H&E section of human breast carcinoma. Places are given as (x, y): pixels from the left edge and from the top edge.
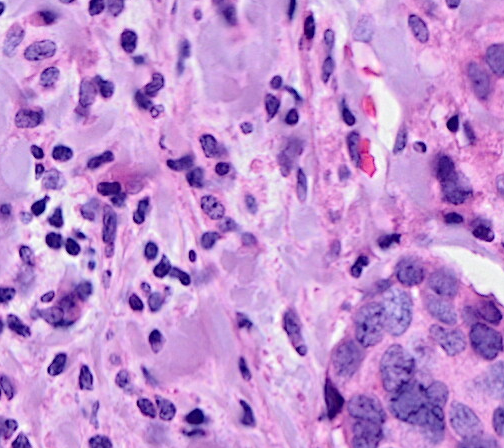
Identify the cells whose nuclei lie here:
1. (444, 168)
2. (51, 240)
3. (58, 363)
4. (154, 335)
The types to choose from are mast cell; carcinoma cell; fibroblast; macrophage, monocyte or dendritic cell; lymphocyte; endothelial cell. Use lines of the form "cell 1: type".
cell 1: carcinoma cell
cell 2: lymphocyte
cell 3: lymphocyte
cell 4: lymphocyte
